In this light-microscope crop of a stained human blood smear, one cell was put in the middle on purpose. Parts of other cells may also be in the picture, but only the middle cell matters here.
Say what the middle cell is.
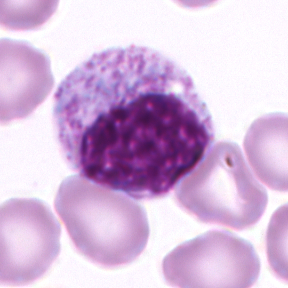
metamyelocyte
